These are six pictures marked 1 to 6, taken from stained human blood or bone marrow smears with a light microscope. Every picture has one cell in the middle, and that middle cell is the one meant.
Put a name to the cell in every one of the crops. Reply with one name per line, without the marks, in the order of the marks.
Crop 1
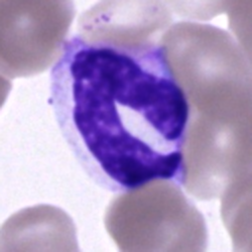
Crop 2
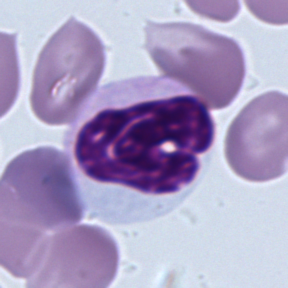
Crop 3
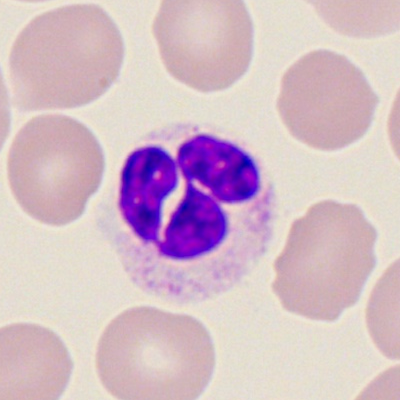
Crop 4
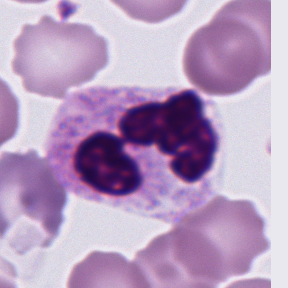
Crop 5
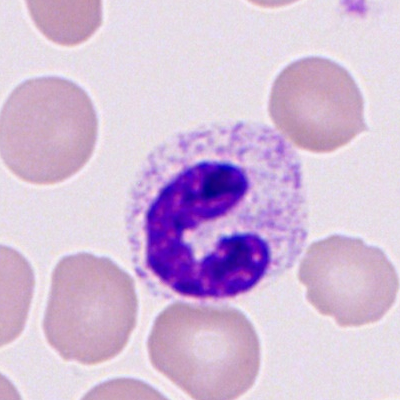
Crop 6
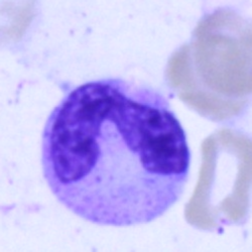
band neutrophil
band neutrophil
segmented neutrophil
segmented neutrophil
band neutrophil
band neutrophil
